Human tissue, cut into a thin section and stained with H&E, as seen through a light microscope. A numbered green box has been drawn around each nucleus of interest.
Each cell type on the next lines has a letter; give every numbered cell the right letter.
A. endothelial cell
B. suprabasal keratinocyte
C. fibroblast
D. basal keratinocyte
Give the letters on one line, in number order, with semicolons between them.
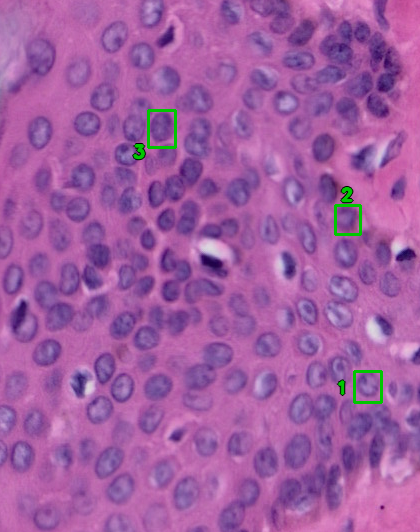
B; D; B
